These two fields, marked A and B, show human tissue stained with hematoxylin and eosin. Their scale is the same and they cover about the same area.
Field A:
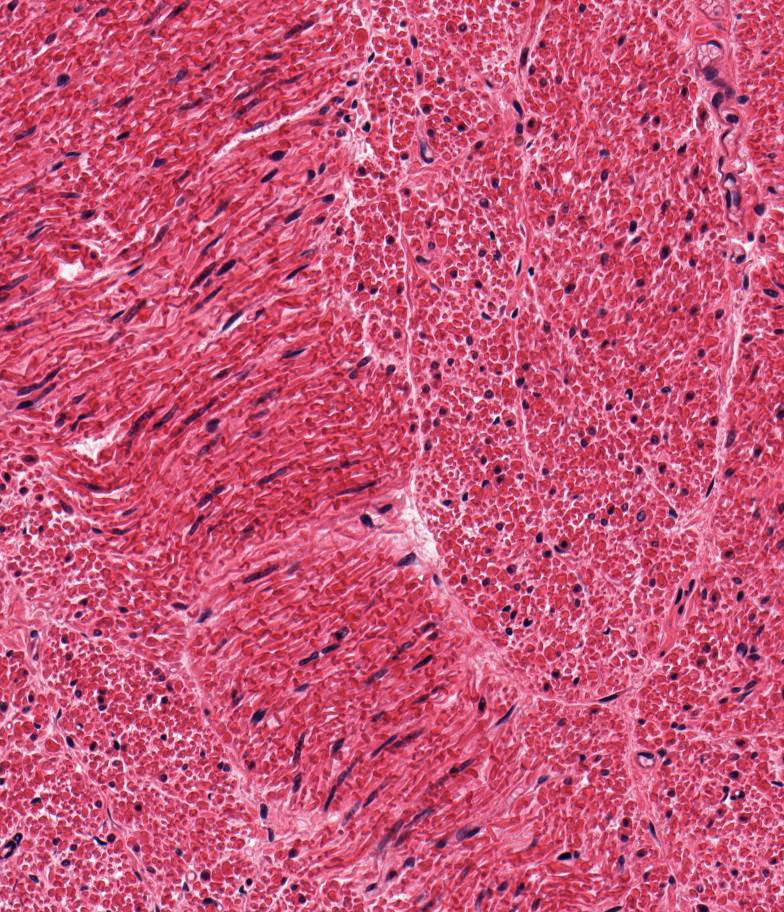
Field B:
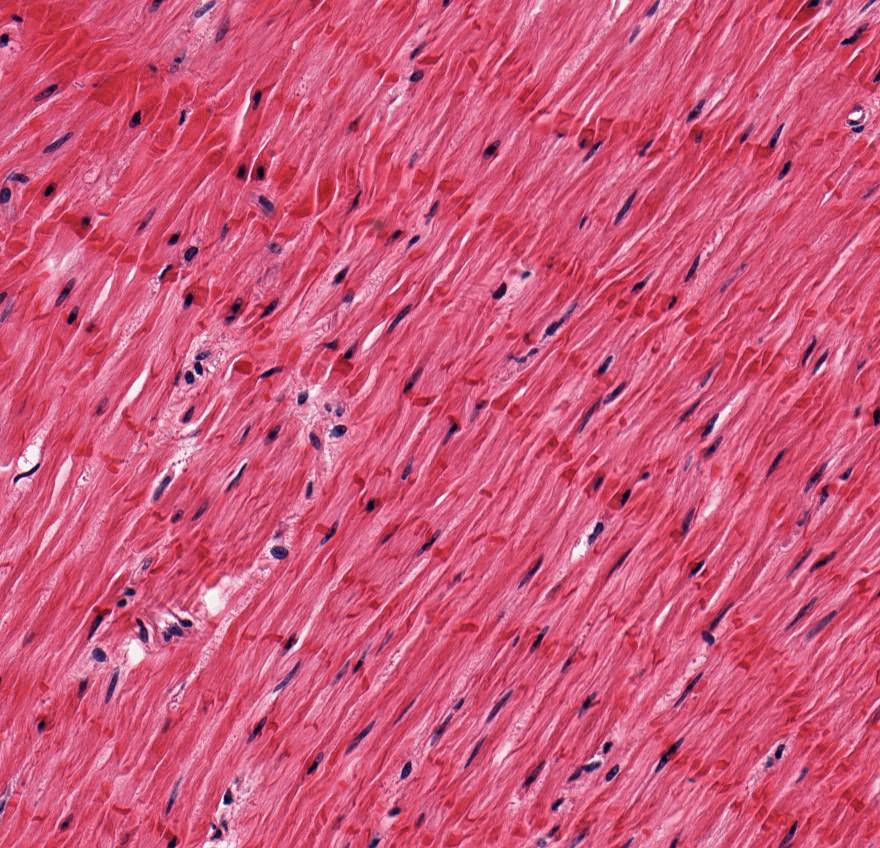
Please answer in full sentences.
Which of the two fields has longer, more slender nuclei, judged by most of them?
It is field B whose nuclei are the more elongated.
